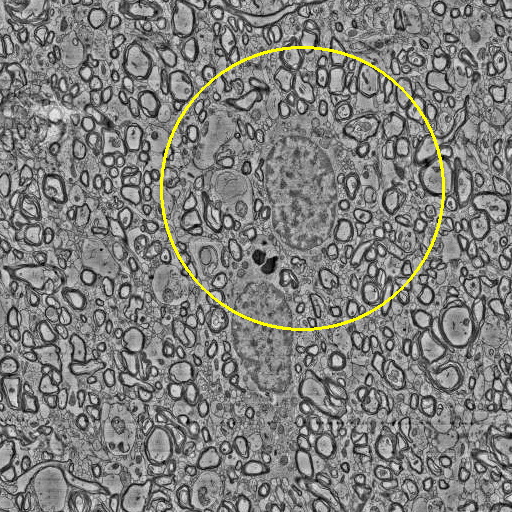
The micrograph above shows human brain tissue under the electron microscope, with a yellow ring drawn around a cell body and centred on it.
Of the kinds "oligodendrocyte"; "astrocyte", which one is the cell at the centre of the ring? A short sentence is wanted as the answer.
The one at the centre of the ring is an oligodendrocyte.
